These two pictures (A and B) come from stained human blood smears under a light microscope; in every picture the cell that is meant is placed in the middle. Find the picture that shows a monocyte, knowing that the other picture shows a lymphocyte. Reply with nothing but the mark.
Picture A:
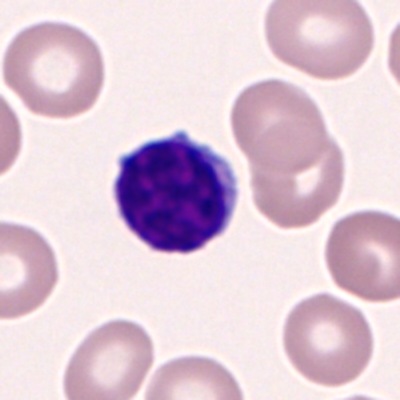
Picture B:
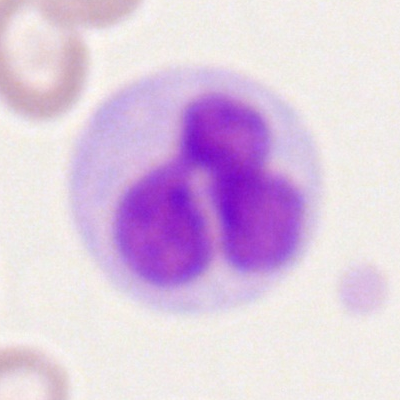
B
